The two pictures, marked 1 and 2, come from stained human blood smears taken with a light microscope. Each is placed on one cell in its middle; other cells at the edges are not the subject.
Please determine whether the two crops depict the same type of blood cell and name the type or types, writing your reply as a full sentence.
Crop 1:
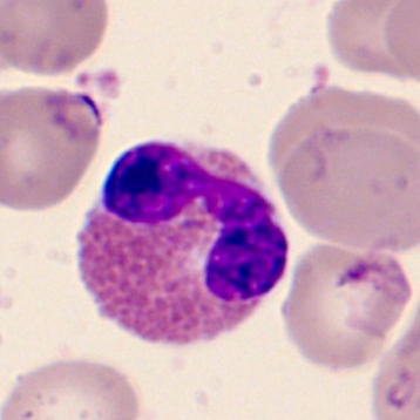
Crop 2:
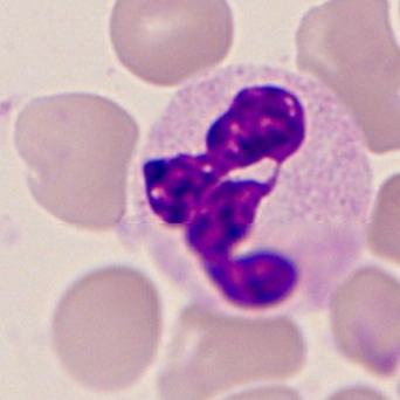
No, it is an eosinophil in crop 1 and a neutrophil in crop 2.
